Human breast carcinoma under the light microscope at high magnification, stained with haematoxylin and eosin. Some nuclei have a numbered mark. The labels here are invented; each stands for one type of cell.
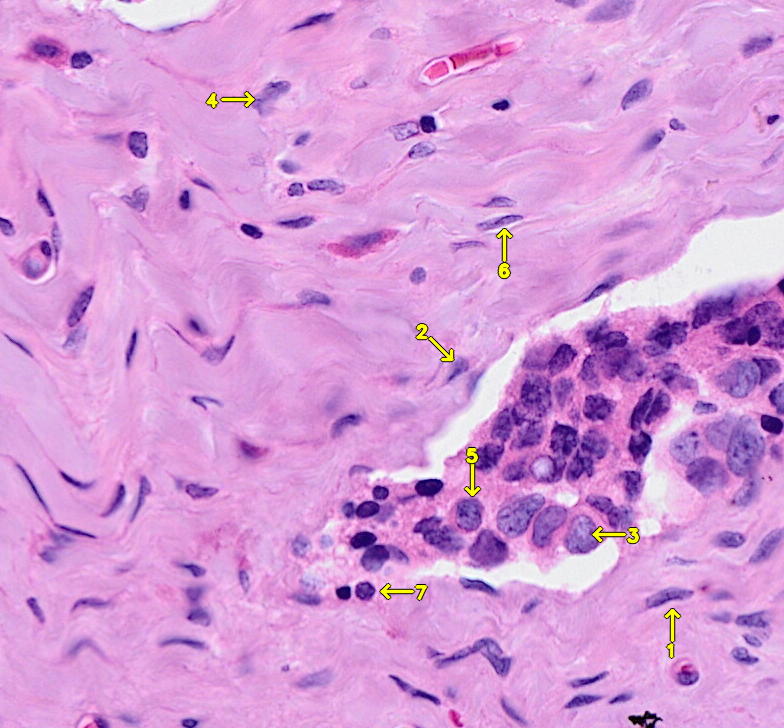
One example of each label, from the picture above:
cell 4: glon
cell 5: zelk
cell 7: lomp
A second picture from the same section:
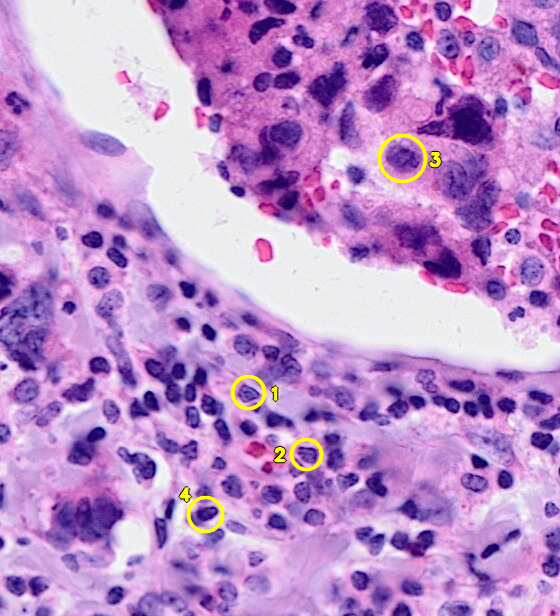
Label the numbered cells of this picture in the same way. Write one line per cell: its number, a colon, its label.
1: lomp
2: lomp
3: zelk
4: lomp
